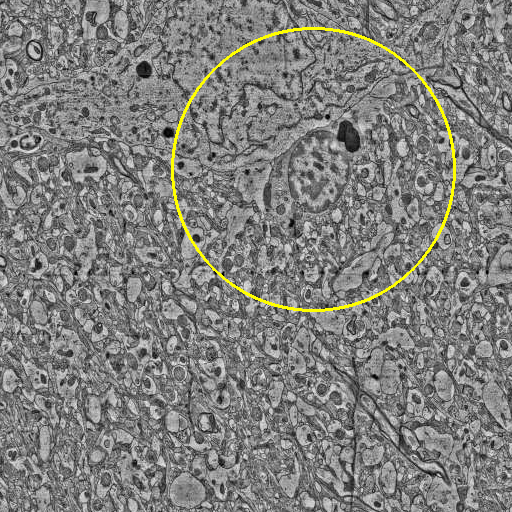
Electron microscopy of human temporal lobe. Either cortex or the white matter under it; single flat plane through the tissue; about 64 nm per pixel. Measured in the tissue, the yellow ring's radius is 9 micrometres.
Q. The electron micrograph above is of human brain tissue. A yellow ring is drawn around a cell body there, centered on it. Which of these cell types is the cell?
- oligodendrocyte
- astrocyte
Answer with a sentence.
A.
The cell under the ring's center is an oligodendrocyte.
